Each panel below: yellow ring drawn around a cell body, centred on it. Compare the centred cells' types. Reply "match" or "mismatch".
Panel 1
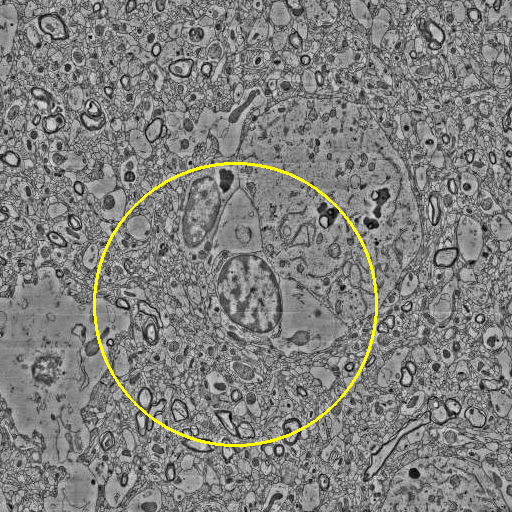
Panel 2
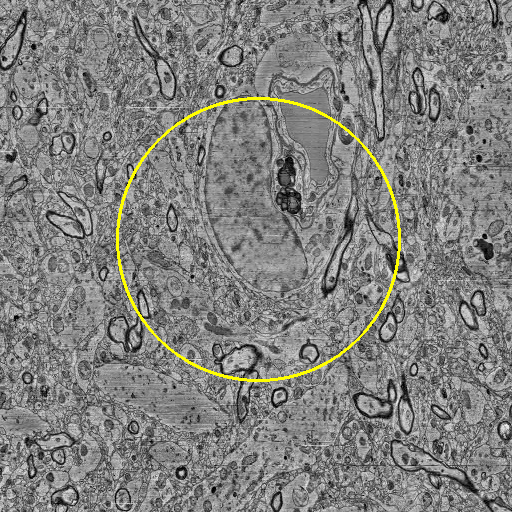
match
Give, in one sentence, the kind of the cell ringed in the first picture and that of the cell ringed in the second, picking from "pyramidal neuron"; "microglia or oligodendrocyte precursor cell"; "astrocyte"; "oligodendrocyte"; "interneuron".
In each of the two pictures, the ringed cell is a microglial cell or oligodendrocyte precursor cell.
